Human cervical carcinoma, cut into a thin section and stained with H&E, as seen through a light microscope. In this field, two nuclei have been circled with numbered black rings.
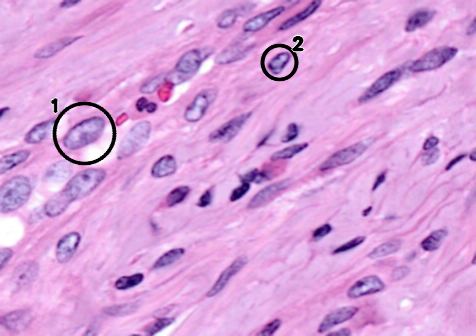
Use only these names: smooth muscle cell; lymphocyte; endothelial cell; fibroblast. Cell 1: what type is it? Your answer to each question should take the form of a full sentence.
Identified as an endothelial cell is the cell bearing the number 1.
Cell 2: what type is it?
The cell that bears the number 2 is a smooth muscle cell.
